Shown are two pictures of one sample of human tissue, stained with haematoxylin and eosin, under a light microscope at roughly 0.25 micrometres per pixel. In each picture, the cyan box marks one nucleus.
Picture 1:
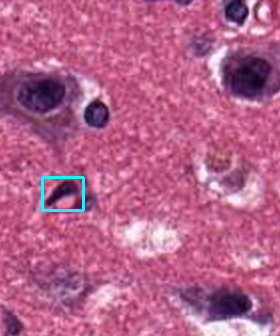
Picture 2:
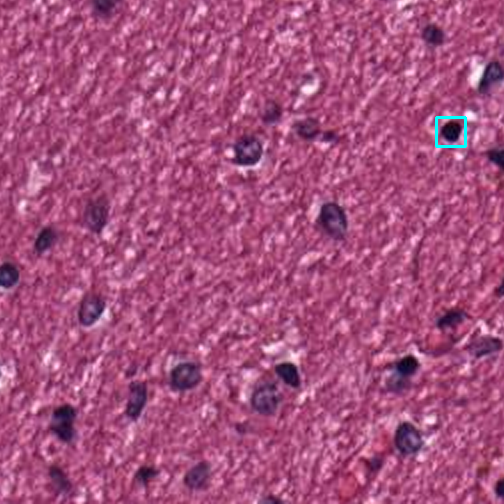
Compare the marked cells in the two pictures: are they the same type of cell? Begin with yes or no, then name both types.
No, the first is an endothelial cell and the second an oligodendrocyte.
